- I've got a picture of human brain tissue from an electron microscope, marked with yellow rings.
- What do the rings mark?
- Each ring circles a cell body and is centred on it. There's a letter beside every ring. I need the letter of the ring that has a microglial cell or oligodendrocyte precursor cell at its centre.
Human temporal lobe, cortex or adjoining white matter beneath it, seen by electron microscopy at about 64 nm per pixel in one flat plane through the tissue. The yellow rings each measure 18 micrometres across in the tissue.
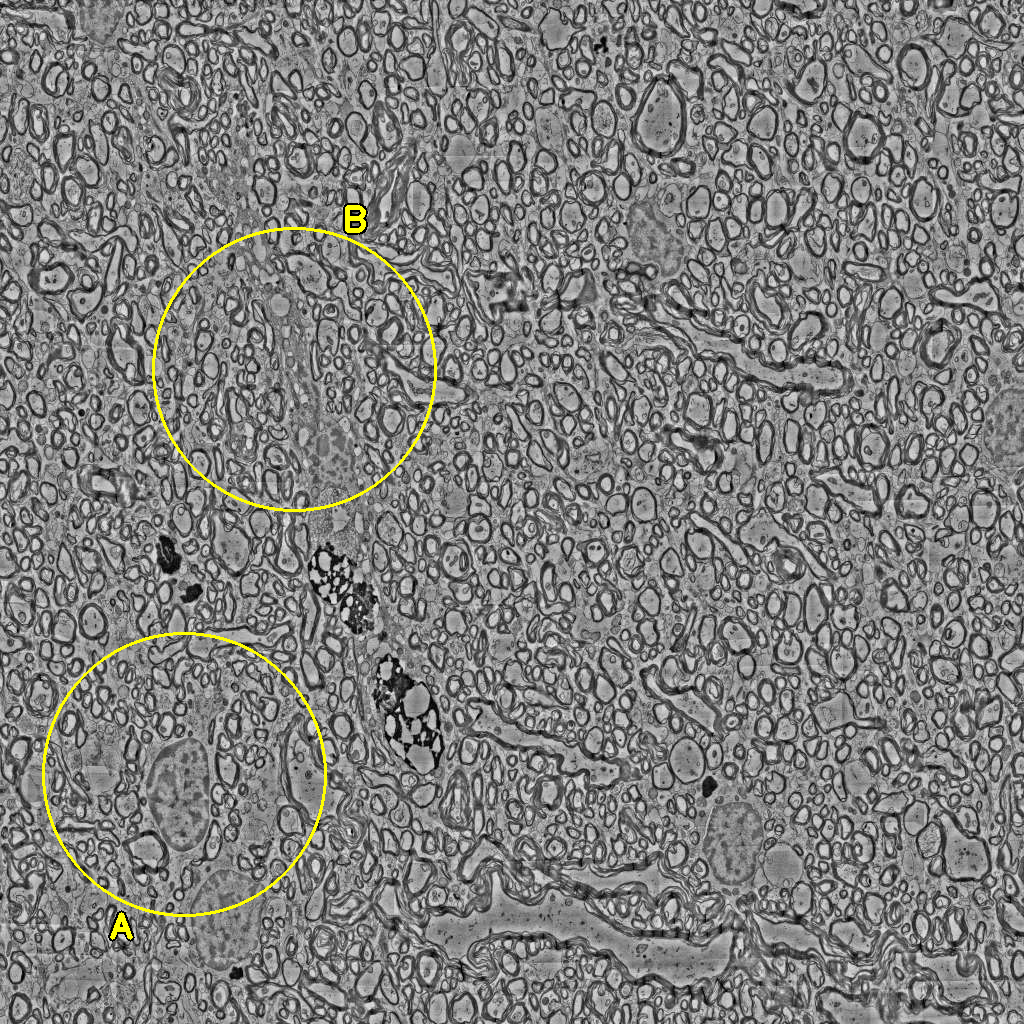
A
